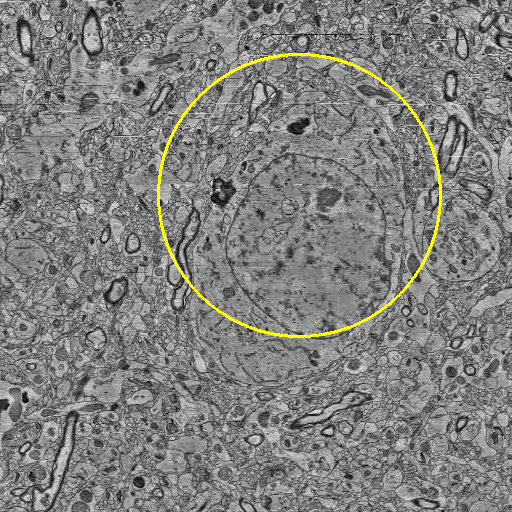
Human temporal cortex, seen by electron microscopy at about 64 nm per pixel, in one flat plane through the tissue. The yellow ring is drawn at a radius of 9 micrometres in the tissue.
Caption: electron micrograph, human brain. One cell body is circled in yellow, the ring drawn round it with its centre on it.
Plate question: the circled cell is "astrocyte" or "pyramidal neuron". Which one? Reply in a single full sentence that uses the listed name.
The yellow ring on the plate is centred on a pyramidal neuron, going by the listed names.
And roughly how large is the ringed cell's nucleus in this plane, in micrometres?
In this plane, approximately 12 by 11 micrometers.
